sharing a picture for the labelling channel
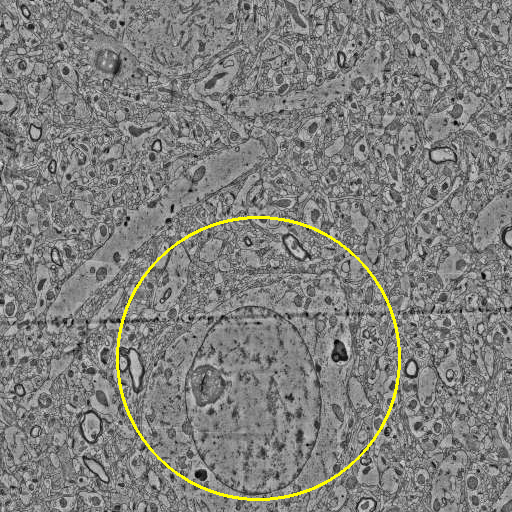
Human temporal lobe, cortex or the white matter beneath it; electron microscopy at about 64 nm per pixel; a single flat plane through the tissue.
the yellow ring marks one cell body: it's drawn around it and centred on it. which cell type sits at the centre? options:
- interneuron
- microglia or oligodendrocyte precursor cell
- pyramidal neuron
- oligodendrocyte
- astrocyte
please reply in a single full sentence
In the picture, the cell at the ring's centre is a pyramidal neuron, going by the list.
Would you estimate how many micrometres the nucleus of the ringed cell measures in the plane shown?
Approximately 12 by 9 micrometers in this plane.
